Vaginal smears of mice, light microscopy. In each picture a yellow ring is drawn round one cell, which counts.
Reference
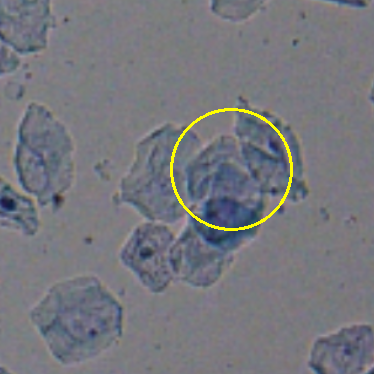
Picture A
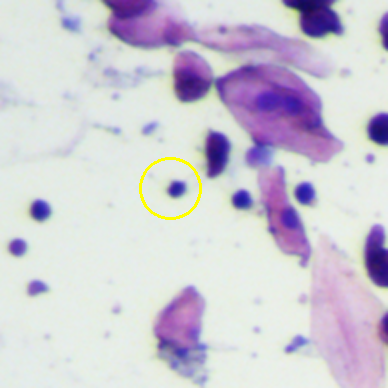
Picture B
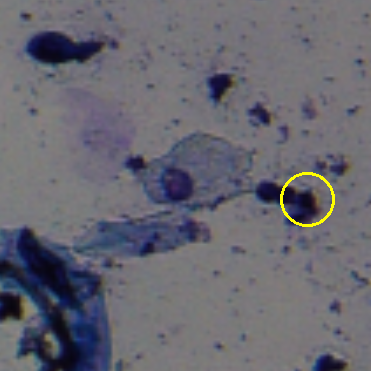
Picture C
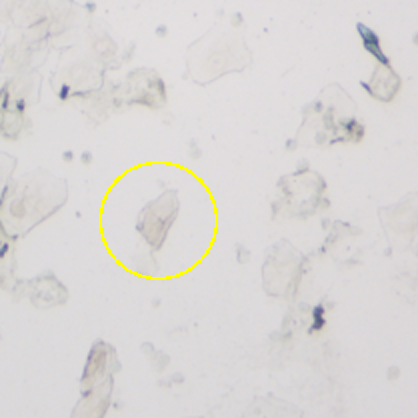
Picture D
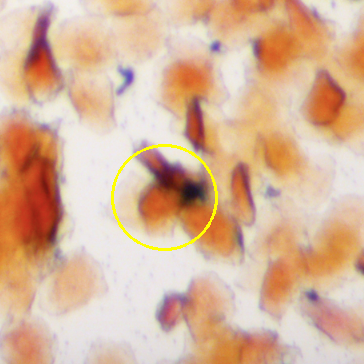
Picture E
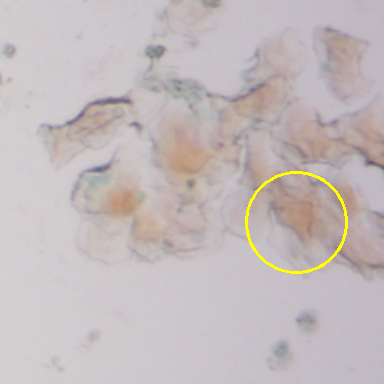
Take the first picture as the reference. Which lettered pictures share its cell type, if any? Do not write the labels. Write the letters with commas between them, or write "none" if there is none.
C, D, E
